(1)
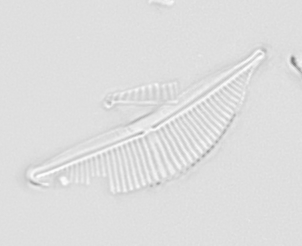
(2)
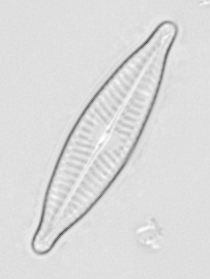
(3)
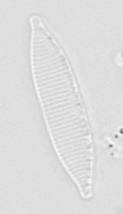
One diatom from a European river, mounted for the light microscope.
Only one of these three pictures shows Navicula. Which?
Picture 2.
